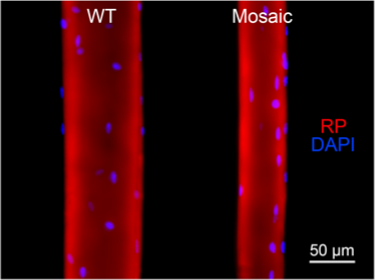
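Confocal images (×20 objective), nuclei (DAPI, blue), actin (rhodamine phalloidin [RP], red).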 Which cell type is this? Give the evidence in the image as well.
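Myofibers. Two long, unbranched, parallel cylinders run the full height of the image. Many blue oval nuclei are strung along each cylinder.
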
